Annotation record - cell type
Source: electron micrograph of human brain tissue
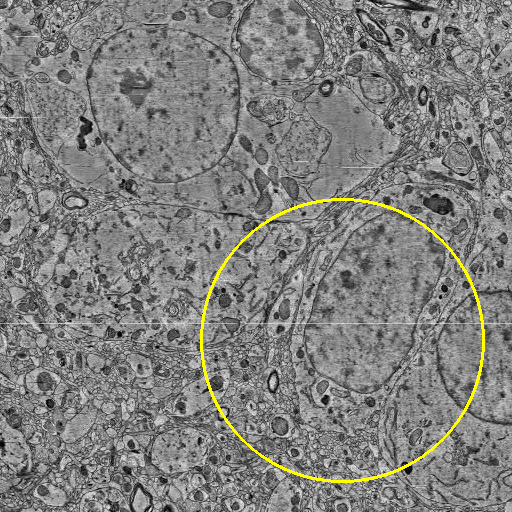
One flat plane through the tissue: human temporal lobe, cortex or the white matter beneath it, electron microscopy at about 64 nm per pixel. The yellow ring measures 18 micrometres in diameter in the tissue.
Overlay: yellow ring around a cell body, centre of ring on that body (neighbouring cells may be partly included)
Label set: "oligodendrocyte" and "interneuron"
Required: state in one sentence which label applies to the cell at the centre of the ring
This cell should be labelled as an interneuron.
